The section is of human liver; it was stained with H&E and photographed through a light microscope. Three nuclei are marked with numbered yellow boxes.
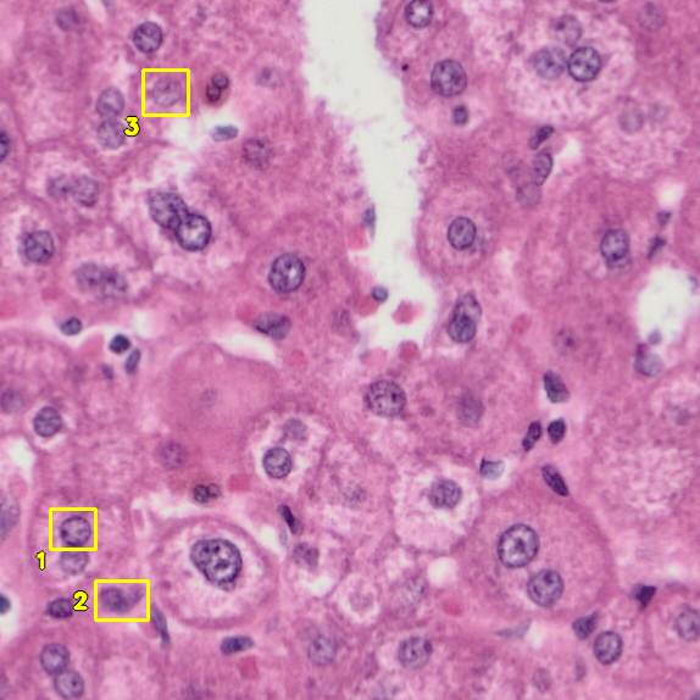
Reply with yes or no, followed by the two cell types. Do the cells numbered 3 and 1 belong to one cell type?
Yes, both are hepatocytes.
